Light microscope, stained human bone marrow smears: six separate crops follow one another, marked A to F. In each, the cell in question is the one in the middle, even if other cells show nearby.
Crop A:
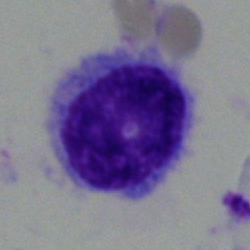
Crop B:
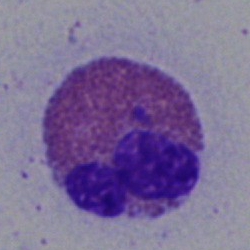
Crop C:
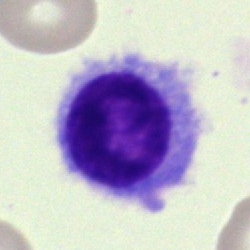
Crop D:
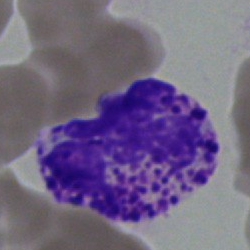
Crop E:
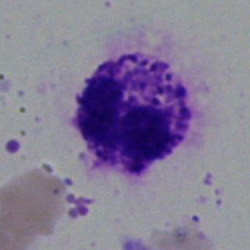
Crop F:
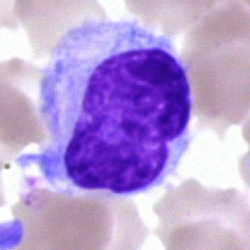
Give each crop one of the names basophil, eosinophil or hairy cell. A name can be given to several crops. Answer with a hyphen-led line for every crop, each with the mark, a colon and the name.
- A: hairy cell
- B: eosinophil
- C: hairy cell
- D: basophil
- E: basophil
- F: hairy cell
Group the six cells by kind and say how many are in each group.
hairy cell: 3
basophil: 2
eosinophil: 1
